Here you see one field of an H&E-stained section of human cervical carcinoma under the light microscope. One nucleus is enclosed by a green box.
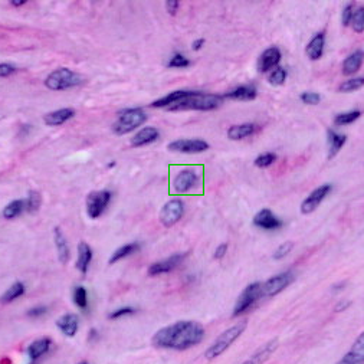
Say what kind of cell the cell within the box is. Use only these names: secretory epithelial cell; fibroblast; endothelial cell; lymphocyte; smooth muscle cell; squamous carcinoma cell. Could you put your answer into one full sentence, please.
The classification of the cell within the box is as a smooth muscle cell.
